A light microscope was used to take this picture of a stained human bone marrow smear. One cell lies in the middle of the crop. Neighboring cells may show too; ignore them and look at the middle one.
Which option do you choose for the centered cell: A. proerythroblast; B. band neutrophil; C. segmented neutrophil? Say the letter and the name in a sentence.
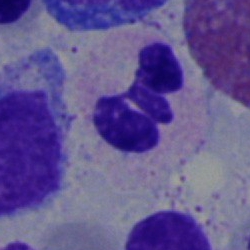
Option C holds up: the cell in the middle is a segmented neutrophil.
